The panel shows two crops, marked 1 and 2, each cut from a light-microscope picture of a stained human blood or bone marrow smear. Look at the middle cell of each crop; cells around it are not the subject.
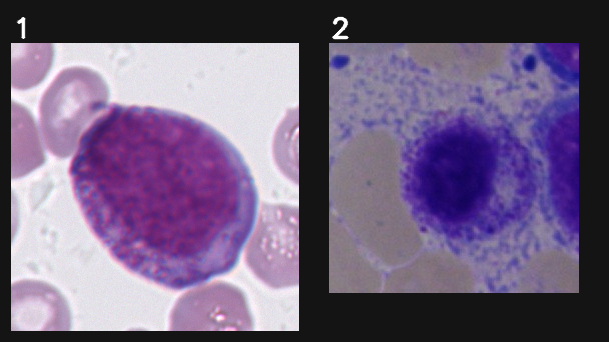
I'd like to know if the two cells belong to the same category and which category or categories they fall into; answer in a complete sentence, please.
No, while a promyelocyte is found in crop 1, a myelocyte is found in crop 2.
